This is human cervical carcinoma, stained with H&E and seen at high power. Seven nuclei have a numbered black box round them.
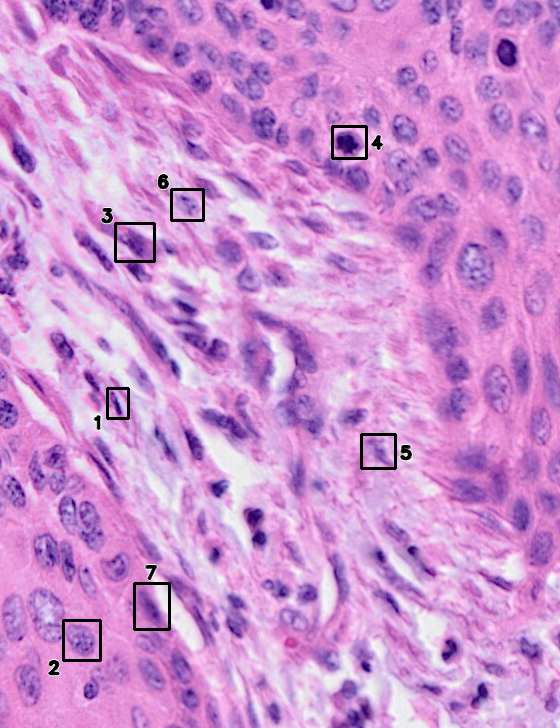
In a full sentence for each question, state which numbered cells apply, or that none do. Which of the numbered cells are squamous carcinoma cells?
Within the section, cells numbered 2 and 7 are squamous carcinoma cells.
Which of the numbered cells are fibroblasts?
The cells with labels 1, 5 and 6 are fibroblasts.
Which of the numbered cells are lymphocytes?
Among the numbered nuclei, only the one labelled 4 belongs to a lymphocyte.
